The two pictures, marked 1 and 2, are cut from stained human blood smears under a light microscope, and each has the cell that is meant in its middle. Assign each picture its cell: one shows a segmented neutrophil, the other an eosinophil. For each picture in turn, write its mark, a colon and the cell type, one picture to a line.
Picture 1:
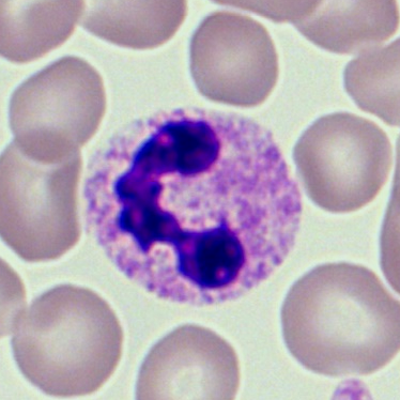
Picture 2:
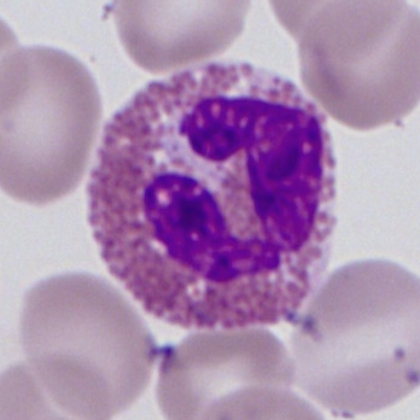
1: segmented neutrophil
2: eosinophil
